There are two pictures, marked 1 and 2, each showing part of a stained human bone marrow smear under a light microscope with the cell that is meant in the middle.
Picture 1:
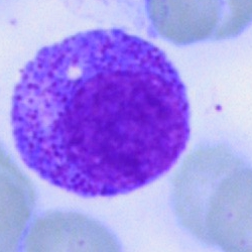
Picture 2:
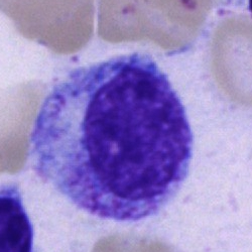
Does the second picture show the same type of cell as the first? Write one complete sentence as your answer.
No, the types are not the same, since picture 1 shows a promyelocyte and picture 2 a myelocyte.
